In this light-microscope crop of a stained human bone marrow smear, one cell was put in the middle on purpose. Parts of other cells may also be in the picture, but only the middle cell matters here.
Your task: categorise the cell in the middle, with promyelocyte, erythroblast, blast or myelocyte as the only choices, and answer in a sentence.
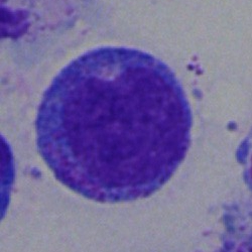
Here the centrally located cell is a blast.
